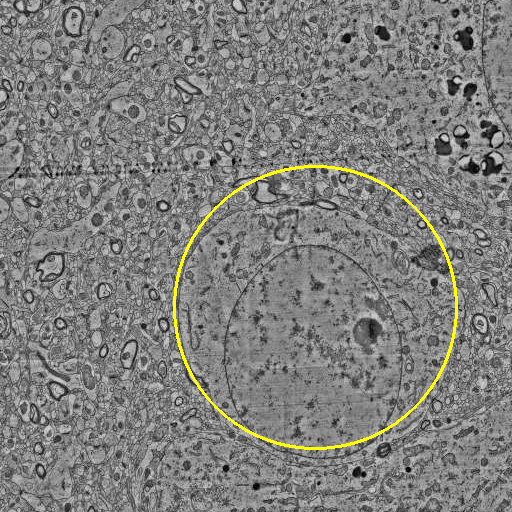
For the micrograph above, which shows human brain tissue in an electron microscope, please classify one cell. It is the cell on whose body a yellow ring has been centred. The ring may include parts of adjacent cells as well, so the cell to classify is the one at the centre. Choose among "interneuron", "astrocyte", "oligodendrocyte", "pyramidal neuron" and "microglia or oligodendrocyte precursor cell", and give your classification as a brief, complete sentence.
I classify this cell as a pyramidal neuron.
